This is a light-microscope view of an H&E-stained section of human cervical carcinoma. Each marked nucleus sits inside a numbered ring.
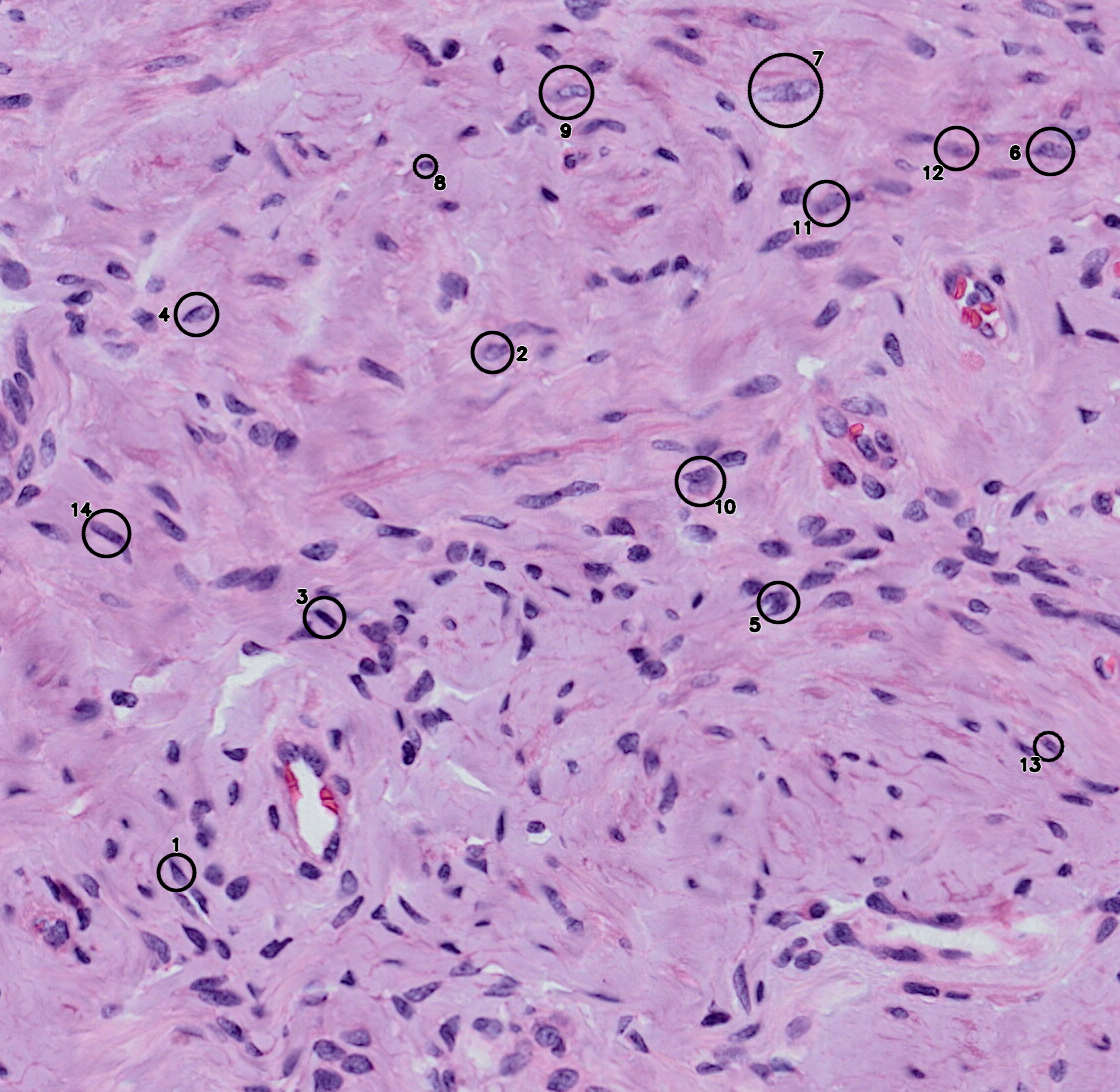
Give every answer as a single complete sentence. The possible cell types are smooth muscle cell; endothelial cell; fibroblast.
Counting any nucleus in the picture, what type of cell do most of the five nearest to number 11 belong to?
Around number 11, most of the five nearest nuclei are those of fibroblasts.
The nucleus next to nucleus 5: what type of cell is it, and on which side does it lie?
A fibroblast lies closest, above and to the left of nucleus 5.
